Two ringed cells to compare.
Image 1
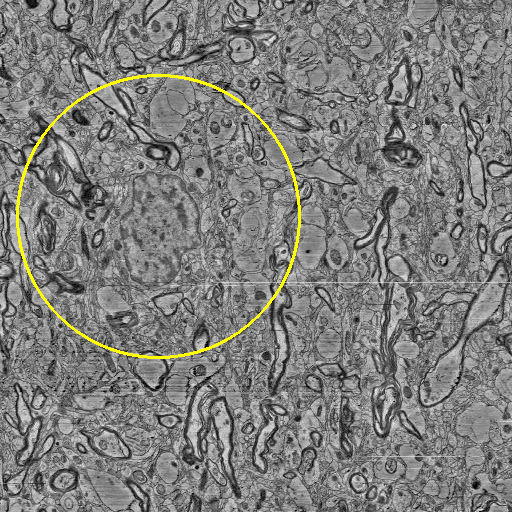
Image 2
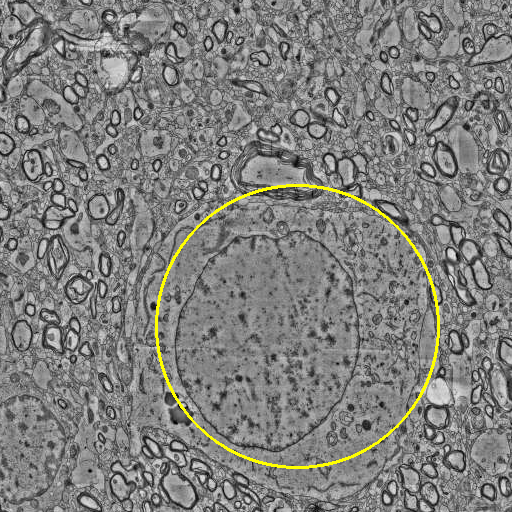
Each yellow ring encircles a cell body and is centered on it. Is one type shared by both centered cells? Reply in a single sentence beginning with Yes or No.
No, two types are found among the cells at the centers of the rings.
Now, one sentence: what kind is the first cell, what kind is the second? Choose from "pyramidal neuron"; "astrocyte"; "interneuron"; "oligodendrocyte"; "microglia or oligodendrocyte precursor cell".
The first picture has an oligodendrocyte at its ring centre, and the second has a pyramidal neuron.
